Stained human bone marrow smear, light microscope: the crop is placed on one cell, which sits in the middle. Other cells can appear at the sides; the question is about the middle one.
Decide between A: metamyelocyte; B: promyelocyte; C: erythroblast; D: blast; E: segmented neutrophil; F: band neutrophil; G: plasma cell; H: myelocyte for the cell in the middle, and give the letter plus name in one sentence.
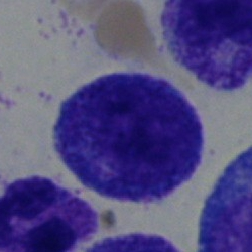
The correct identification, given in option B, is that the central cell is a promyelocyte.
